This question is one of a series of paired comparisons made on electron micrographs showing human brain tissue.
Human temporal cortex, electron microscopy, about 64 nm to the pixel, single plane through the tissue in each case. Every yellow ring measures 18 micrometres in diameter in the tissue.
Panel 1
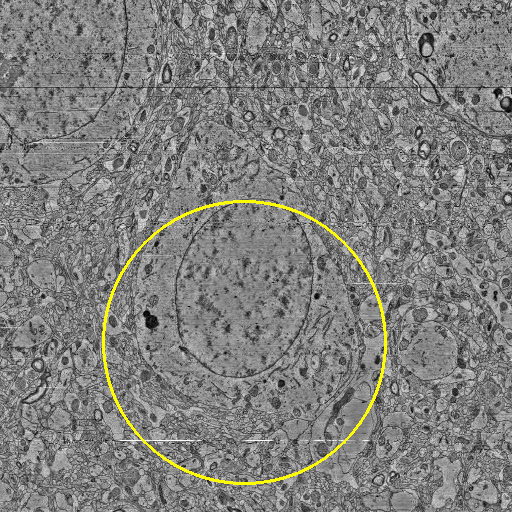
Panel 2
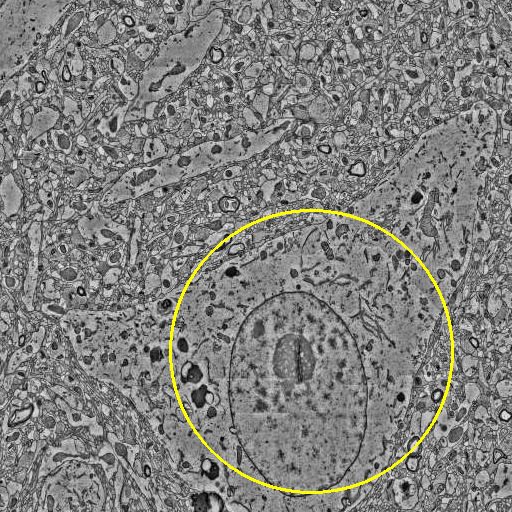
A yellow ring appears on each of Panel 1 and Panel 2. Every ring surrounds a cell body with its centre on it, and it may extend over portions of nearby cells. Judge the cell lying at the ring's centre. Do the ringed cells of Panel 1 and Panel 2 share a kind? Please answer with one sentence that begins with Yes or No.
Yes, the ring-centre cell in Panel 1 and the one in Panel 2 are of one kind.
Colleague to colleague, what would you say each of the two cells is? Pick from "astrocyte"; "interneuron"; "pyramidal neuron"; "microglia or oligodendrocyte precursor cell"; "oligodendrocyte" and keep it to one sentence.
Both rings mark a pyramidal neuron, one in each picture.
